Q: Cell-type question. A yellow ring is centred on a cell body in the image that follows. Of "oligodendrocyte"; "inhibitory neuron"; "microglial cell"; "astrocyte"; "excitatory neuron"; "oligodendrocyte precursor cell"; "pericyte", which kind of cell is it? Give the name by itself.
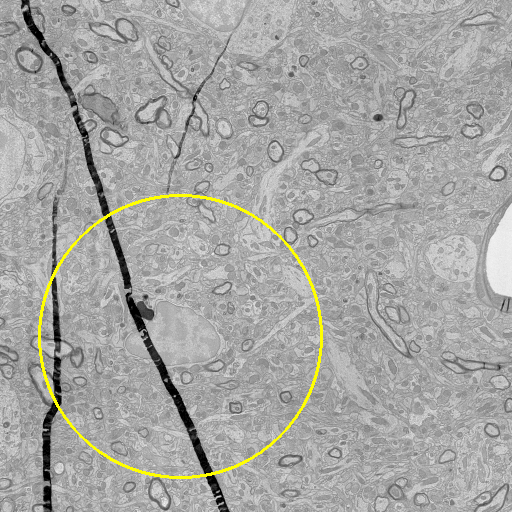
microglial cell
